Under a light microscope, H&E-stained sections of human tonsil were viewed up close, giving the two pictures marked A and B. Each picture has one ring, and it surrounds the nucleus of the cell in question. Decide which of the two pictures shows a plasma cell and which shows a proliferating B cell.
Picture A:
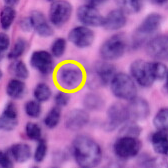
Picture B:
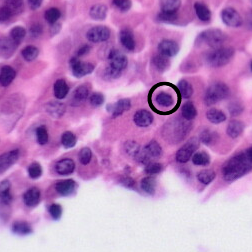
A: proliferating B cell
B: plasma cell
